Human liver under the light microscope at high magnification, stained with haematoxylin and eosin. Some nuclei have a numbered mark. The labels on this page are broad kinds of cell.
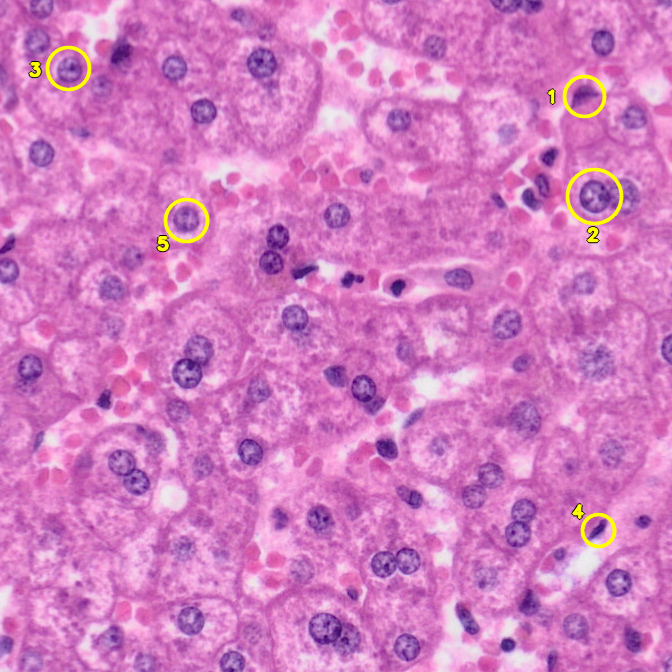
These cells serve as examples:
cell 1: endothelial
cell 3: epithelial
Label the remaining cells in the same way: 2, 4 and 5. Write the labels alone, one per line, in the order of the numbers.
epithelial
endothelial
epithelial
